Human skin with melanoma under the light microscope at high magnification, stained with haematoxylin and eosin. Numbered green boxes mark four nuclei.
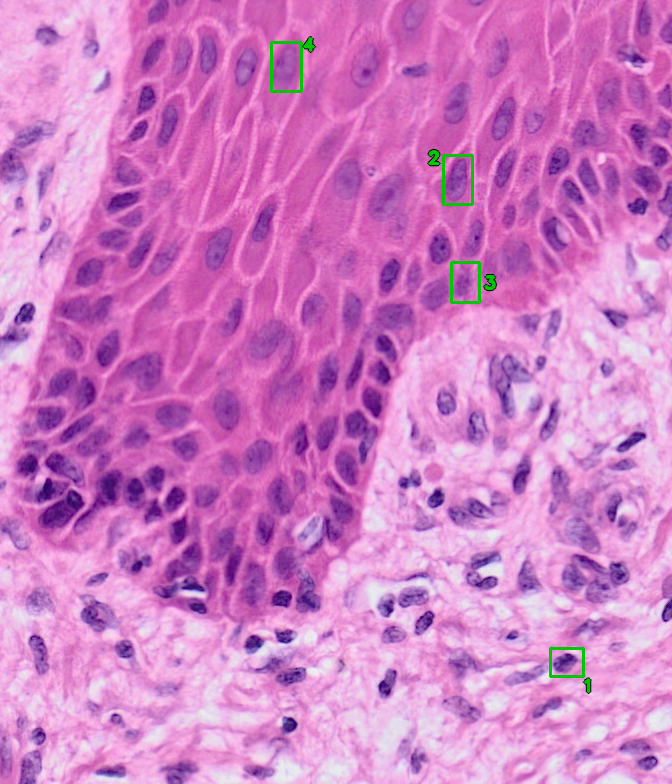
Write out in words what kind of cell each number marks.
Cell 1 is a lymphocyte, cell 2 is a keratinocyte, cell 3 is a keratinocyte and cell 4 is a keratinocyte.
